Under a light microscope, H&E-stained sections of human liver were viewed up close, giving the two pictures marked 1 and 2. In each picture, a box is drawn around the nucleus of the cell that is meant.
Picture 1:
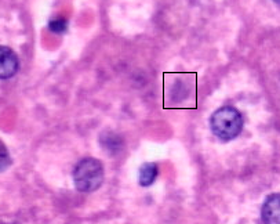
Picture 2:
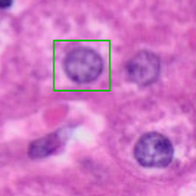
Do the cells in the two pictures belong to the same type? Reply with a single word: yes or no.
yes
